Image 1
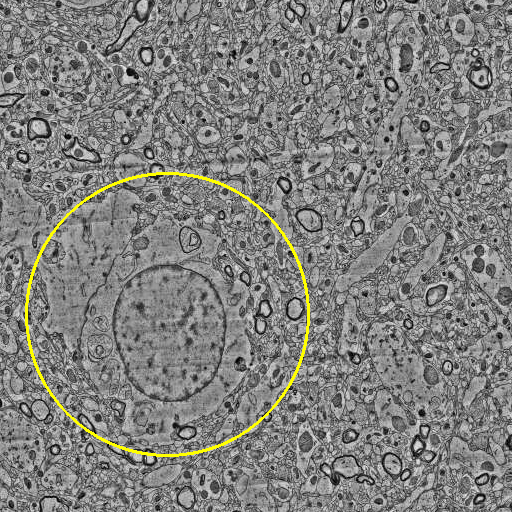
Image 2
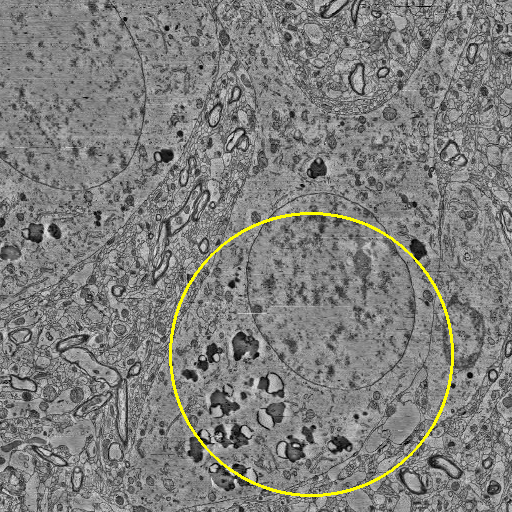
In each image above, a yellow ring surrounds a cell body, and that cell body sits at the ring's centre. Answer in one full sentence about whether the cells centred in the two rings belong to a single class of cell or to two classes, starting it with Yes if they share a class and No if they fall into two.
No, the cells centred in the two yellow rings belong to two classes of cell.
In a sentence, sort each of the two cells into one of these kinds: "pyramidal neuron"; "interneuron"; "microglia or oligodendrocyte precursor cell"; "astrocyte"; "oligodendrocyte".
The first of the two cells is an astrocyte, and the second is a pyramidal neuron.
